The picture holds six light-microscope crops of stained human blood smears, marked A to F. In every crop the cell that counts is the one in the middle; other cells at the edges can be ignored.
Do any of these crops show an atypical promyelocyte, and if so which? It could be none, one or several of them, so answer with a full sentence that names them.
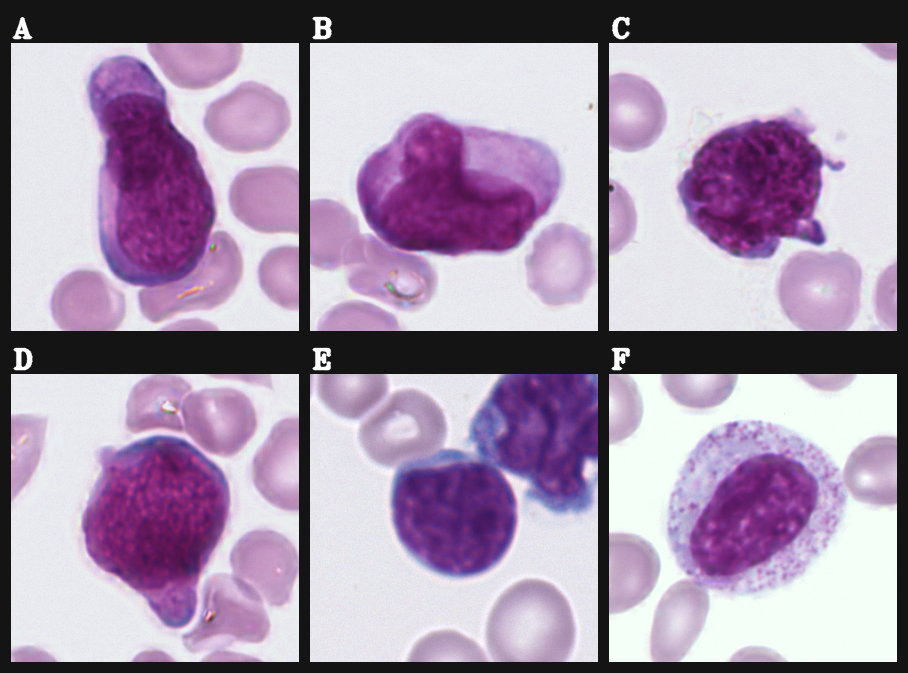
The central cells found in crops A, B, C and D are atypical promyelocytes.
